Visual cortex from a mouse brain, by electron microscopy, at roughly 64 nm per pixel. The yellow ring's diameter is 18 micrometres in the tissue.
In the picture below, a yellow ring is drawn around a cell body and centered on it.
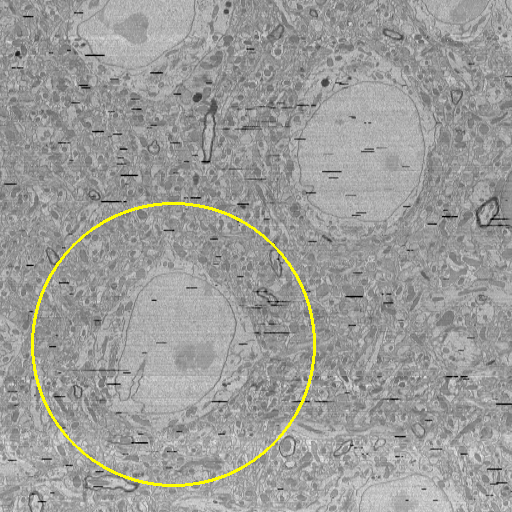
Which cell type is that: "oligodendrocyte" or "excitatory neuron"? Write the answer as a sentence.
The cell centered in the ring is an excitatory neuron.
